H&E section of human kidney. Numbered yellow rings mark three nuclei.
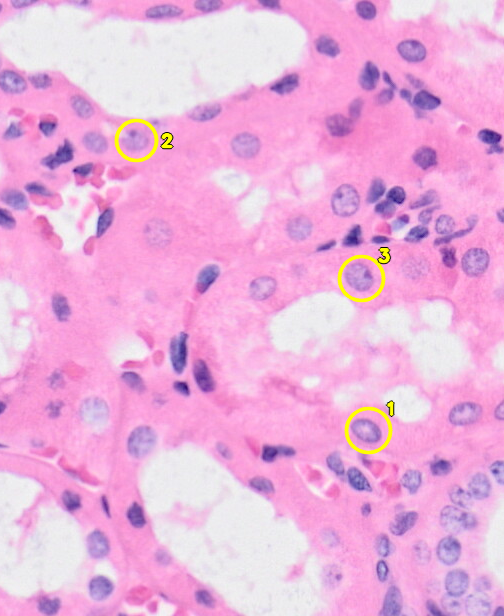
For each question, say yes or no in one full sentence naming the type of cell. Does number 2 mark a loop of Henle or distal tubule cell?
Yes, cell number 2 in this section is a loop of Henle or distal tubule cell.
